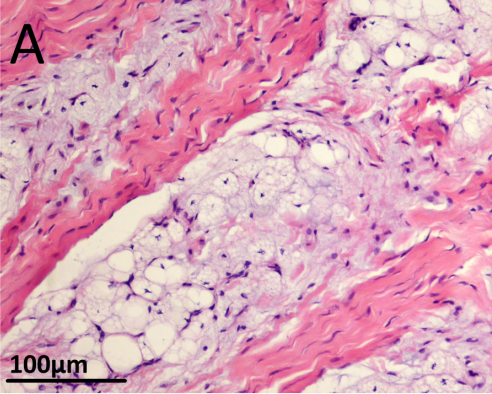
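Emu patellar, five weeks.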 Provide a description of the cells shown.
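This tendon shows bright pink wavy collagen fibre bundles lying beside a pale, basophilic, vesicular tissue. The vesicular tissue is filled with numerous clear rounded spaces of varying size, separated by thin pale purple strands. Small dark nuclei are scattered through this tissue, and elongated nuclei lie along the fibre bundles.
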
